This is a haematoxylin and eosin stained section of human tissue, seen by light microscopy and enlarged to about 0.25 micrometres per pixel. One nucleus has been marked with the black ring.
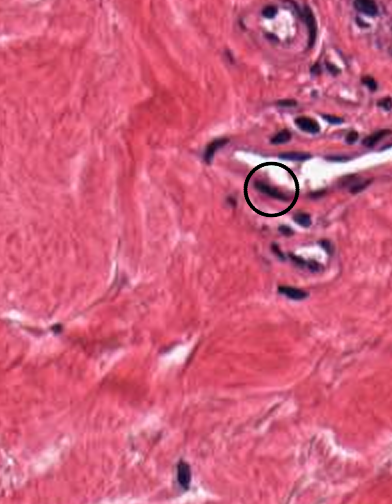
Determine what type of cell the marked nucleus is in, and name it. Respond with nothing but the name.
endothelial cell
